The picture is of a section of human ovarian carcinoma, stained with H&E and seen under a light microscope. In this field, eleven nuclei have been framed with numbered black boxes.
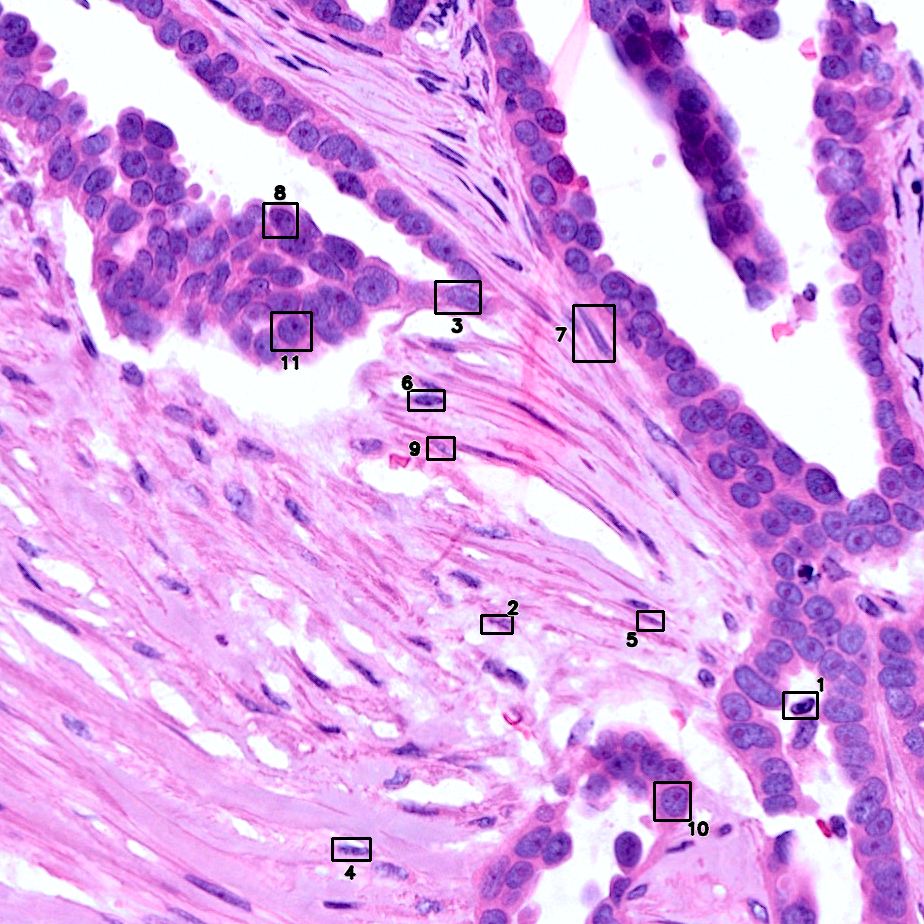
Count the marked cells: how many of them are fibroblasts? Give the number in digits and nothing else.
6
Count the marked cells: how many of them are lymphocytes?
1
